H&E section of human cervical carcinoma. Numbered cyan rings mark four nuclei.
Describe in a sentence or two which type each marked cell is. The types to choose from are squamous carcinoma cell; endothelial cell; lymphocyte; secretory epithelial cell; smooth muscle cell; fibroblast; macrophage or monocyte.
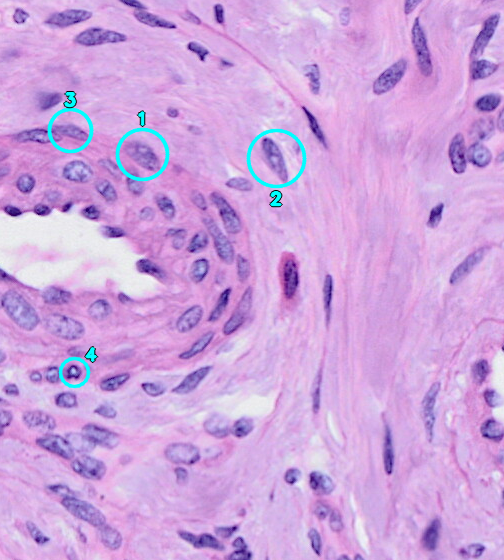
Cells 1, 3 and 4 are smooth muscle cells. Cell 2 is a fibroblast.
